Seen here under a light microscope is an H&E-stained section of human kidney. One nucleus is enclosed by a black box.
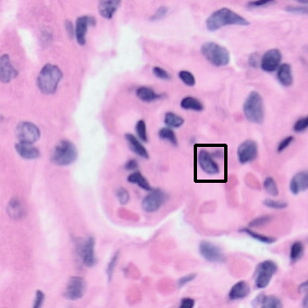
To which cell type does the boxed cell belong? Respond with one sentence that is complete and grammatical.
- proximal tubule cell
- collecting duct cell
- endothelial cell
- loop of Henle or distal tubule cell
It is as an endothelial cell that the boxed cell is recorded.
